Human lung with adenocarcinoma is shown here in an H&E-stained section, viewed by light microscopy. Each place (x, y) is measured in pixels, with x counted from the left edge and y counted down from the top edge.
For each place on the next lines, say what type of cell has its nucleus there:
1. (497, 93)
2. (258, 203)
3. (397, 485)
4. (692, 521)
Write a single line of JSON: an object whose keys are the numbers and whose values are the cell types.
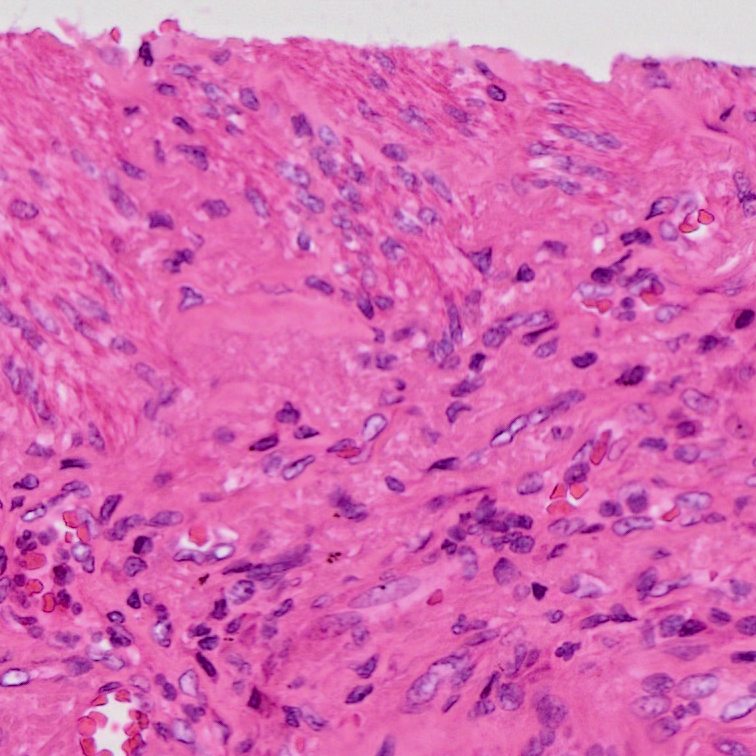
{"1": "mast cell", "2": "smooth muscle cell or pericyte", "3": "mast cell", "4": "endothelial cell"}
